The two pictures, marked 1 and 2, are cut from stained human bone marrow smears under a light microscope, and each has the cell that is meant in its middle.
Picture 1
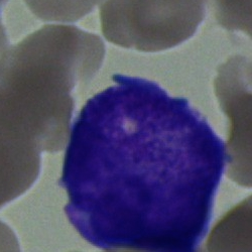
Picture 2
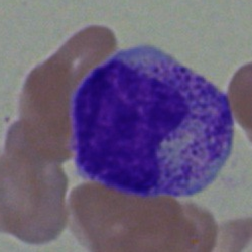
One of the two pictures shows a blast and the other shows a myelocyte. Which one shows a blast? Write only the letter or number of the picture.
1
